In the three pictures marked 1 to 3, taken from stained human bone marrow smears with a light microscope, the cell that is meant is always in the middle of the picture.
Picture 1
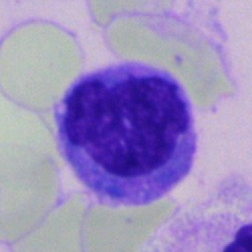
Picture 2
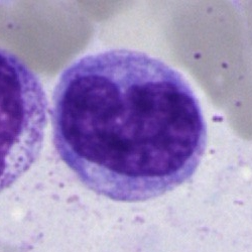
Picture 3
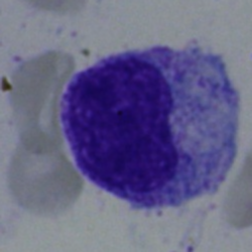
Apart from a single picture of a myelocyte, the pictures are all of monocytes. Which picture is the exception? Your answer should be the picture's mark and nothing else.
3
